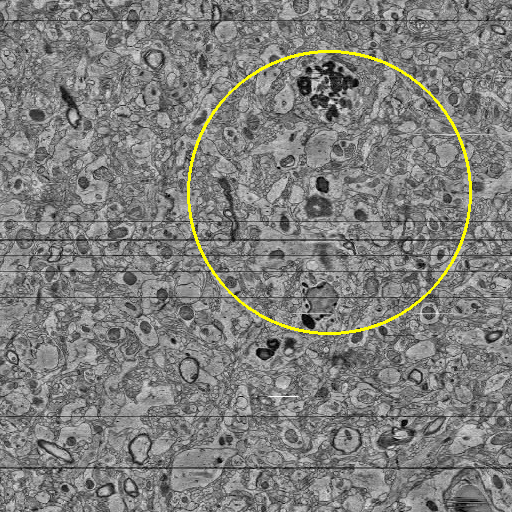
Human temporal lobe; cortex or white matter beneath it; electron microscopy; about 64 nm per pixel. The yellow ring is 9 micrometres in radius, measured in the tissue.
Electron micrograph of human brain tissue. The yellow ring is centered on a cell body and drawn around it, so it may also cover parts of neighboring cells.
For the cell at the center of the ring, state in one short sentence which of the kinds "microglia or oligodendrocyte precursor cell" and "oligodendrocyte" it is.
This ring is centered on a microglial cell or oligodendrocyte precursor cell.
